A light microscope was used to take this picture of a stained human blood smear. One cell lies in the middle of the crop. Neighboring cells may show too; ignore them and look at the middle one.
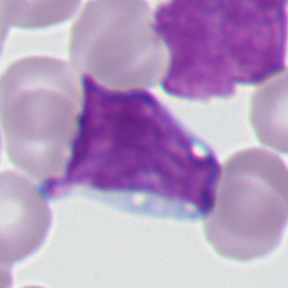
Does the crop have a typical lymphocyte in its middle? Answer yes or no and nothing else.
yes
